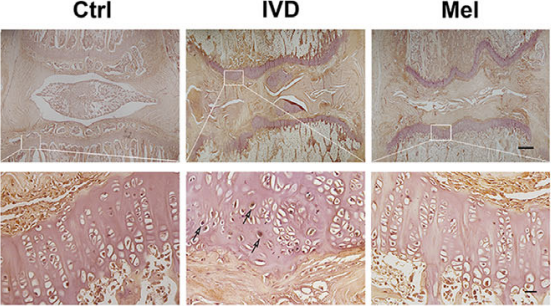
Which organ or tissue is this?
Endplate cartilage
